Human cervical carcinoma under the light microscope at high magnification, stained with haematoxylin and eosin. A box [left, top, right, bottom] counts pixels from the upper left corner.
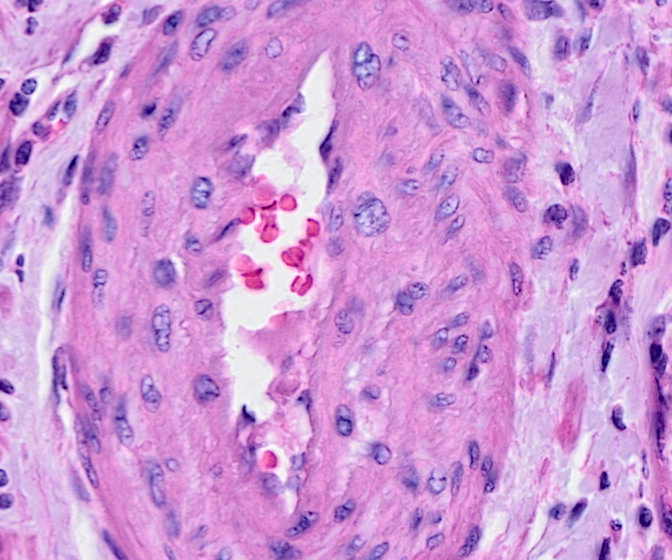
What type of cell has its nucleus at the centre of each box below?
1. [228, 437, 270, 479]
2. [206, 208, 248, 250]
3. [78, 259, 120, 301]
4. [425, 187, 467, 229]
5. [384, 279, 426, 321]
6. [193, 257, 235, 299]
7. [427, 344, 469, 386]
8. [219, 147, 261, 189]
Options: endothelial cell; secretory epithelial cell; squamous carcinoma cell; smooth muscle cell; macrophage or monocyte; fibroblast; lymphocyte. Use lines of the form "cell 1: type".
cell 1: endothelial cell
cell 2: endothelial cell
cell 3: smooth muscle cell
cell 4: smooth muscle cell
cell 5: smooth muscle cell
cell 6: endothelial cell
cell 7: smooth muscle cell
cell 8: endothelial cell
